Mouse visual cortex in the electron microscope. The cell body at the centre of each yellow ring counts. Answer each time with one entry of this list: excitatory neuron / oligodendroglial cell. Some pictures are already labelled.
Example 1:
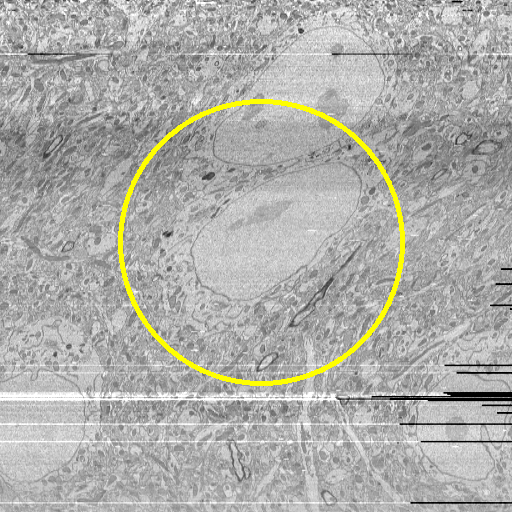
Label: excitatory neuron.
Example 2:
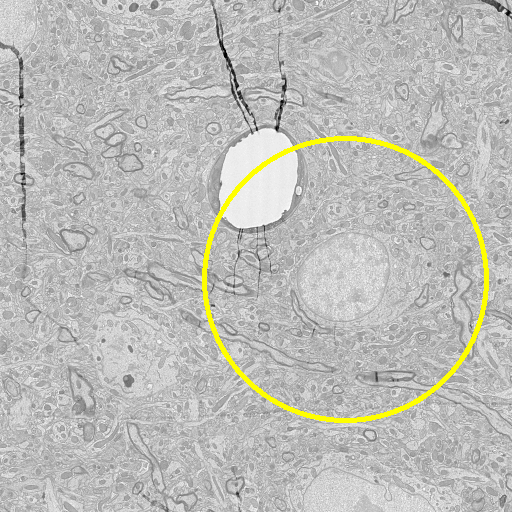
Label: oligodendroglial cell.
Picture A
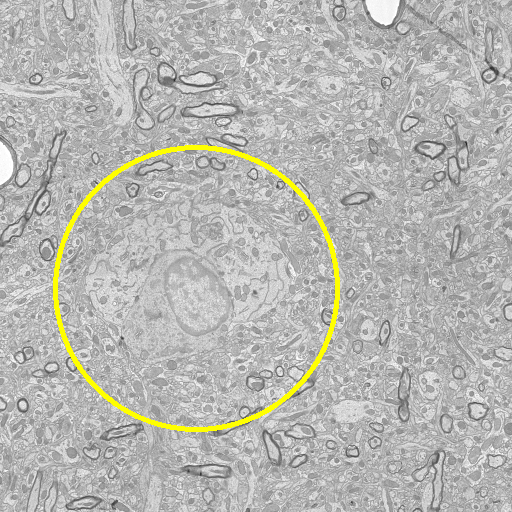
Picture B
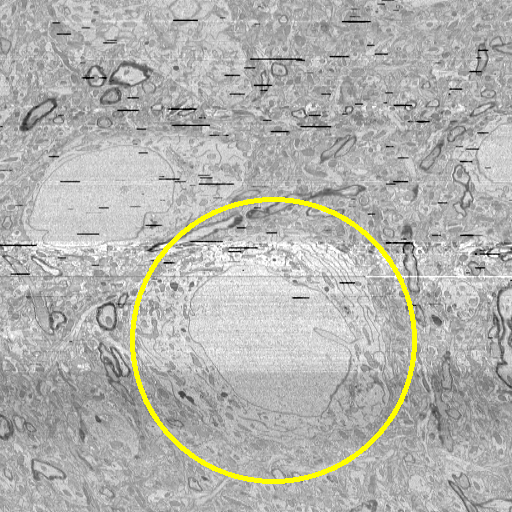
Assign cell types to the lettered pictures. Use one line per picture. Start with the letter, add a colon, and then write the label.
A: oligodendroglial cell.
B: excitatory neuron.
